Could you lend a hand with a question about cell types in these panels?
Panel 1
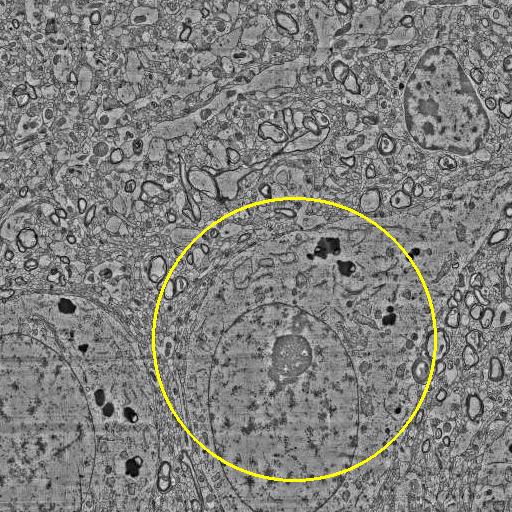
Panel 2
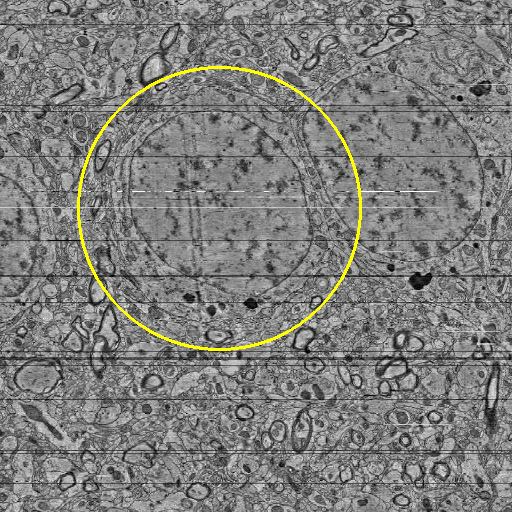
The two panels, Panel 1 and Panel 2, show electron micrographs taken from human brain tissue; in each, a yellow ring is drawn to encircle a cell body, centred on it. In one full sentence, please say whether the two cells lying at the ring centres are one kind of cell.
Yes, the cells at the ring centres in the two panels are one kind of cell.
